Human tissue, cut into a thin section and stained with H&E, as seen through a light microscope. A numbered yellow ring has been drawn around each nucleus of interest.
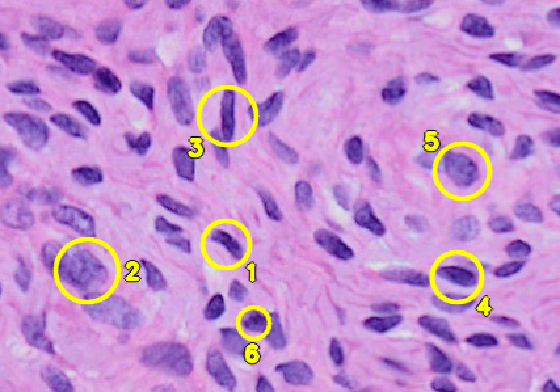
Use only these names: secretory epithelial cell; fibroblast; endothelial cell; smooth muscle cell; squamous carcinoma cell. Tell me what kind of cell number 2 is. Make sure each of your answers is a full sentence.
The cell whose nucleus carries the number 2 is an endothelial cell.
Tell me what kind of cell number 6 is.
Classified as a fibroblast is the cell with the number 6.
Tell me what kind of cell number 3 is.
The nucleus labelled 3 belongs to a fibroblast.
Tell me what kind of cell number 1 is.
Regarding cell 1, this one is a fibroblast.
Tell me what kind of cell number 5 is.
Identified as an endothelial cell is the cell bearing the number 5.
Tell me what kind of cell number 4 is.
That cell with number 4 is a fibroblast.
